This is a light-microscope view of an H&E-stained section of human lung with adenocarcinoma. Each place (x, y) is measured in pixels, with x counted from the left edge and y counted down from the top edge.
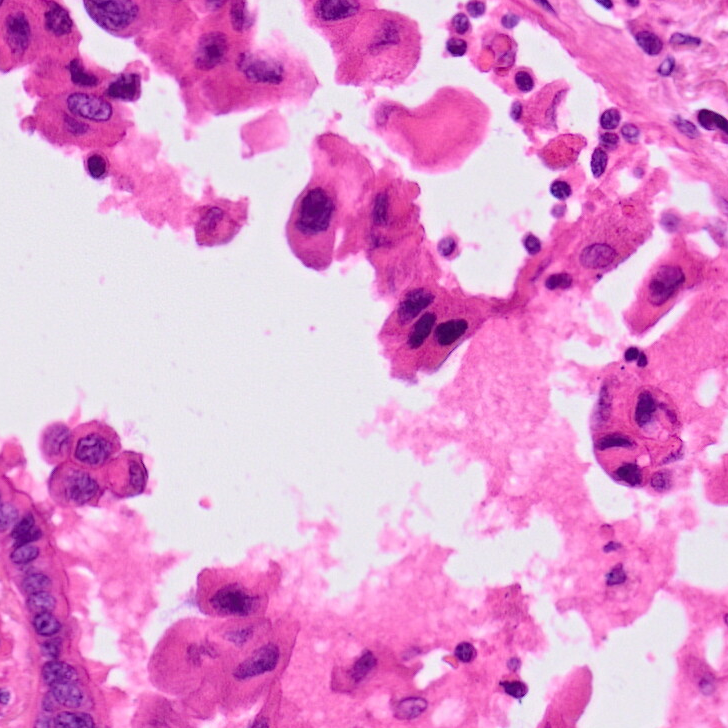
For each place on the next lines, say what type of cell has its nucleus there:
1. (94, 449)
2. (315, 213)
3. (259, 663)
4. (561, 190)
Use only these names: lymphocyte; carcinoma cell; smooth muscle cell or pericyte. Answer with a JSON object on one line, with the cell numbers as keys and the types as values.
{"1": "carcinoma cell", "2": "carcinoma cell", "3": "carcinoma cell", "4": "lymphocyte"}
